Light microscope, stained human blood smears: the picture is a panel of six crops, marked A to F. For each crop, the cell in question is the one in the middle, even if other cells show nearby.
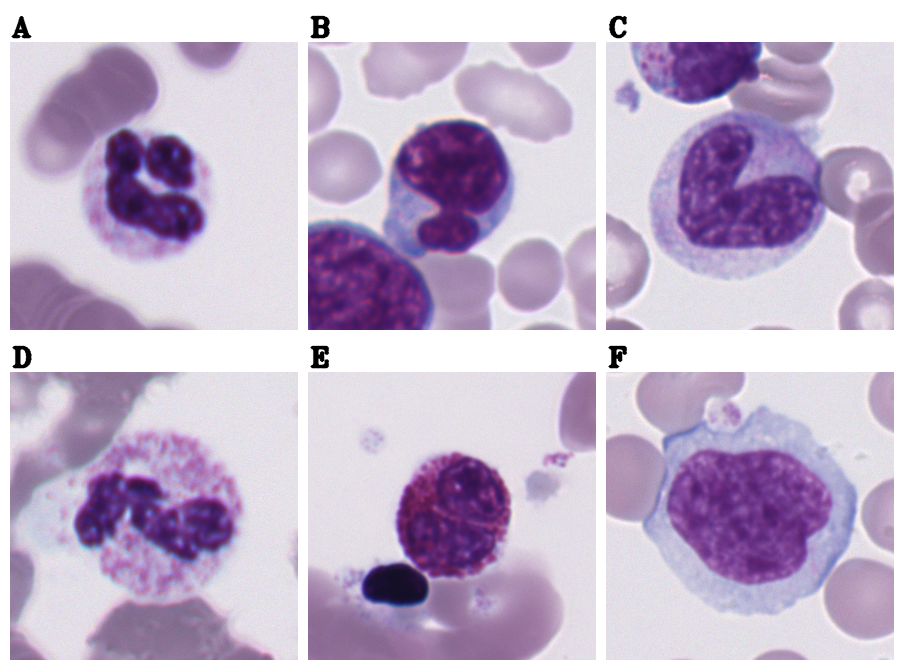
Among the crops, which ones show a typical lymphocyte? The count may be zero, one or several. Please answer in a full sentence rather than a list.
The presence of a typical lymphocyte is limited to crop B.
